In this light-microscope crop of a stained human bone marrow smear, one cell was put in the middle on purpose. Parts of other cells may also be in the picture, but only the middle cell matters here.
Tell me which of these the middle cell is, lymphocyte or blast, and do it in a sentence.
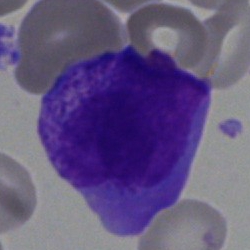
In the middle of this smear crop, the cell is a blast.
